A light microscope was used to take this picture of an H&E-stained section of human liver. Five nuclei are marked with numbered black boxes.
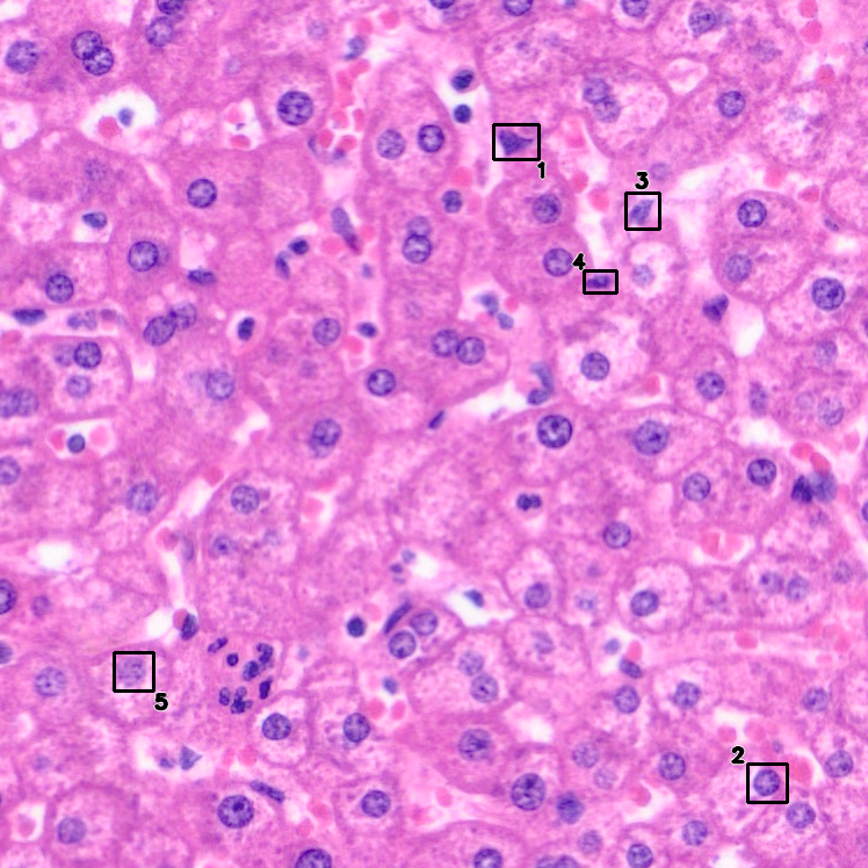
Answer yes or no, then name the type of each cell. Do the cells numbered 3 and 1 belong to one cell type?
Yes, cells 3 and 1 both qualify as fibroblasts or stellate cells.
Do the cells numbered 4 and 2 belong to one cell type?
No, cell 4 is a fibroblast or stellate cell whereas cell 2 is a hepatocyte.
